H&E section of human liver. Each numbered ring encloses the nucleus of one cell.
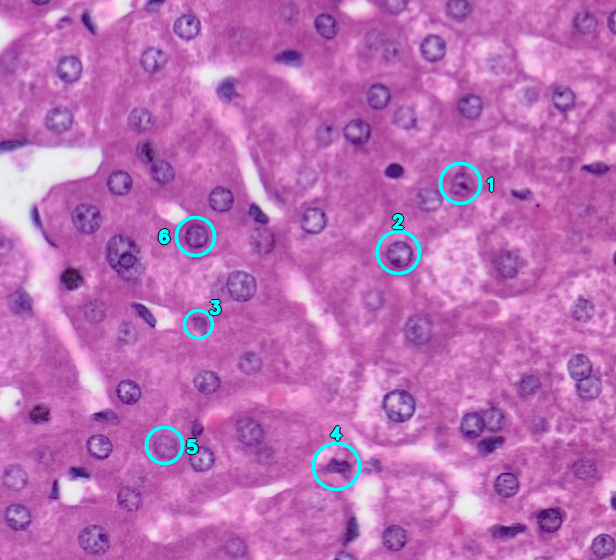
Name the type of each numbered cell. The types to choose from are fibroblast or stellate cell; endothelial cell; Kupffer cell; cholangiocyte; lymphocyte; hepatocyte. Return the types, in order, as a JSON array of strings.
["hepatocyte", "hepatocyte", "fibroblast or stellate cell", "Kupffer cell", "hepatocyte", "hepatocyte"]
